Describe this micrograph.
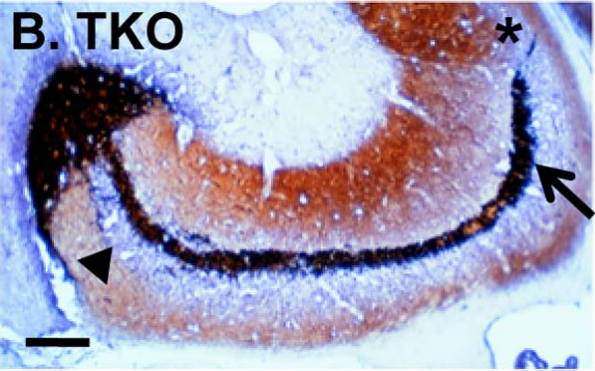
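This is a section through the hippocampus with the mossy fiber terminals stained black. Below the left part of the band the tissue is only lightly and diffusely stained, with no crisp second band. The neighbouring layers are brown and the outer tissue pale blue.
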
